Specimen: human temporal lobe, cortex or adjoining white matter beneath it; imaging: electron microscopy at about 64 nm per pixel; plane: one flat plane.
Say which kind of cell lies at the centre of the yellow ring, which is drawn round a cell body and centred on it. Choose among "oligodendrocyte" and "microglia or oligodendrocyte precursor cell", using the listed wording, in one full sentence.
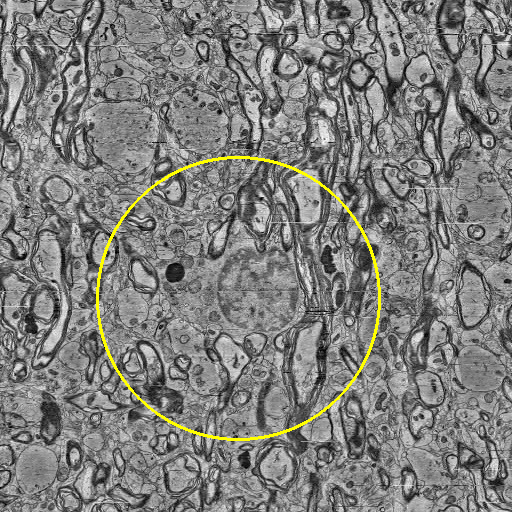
Going by the list, the cell at the yellow ring's centre is an oligodendrocyte.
